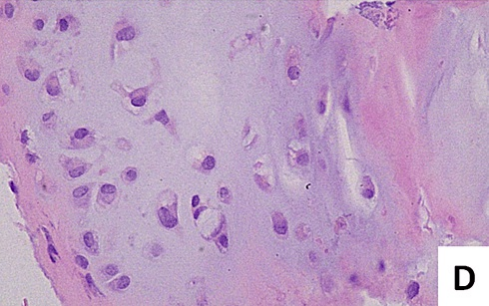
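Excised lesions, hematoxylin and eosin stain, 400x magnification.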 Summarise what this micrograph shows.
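Cartilage cells lie scattered within a smooth, glassy, purple-to-pink matrix. Many sit inside clear spaces, the lacunae, some with a small gap around the cell. The cells are spread irregularly, without rows or columns, and a pinker band of matrix runs along one side. These are chondrocytes in lacunae, set haphazardly in hyaline cartilaginous matrix.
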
